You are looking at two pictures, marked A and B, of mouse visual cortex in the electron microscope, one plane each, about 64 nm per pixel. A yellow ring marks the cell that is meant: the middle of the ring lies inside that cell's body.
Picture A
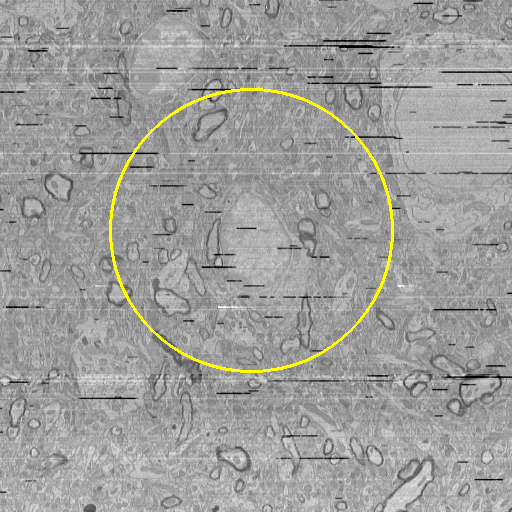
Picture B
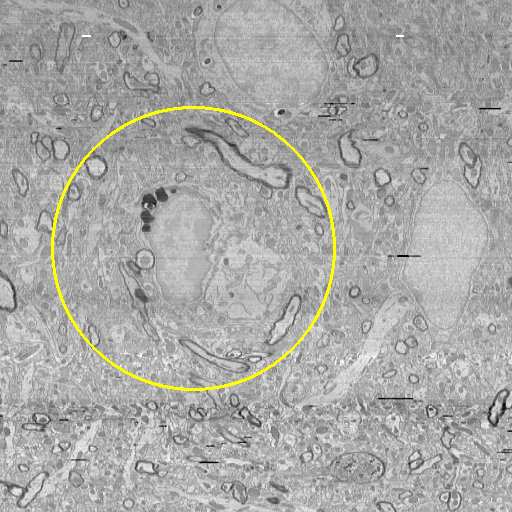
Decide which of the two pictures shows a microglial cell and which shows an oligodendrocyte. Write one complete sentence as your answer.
In picture A the cell is an oligodendrocyte; in picture B, a microglial cell.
